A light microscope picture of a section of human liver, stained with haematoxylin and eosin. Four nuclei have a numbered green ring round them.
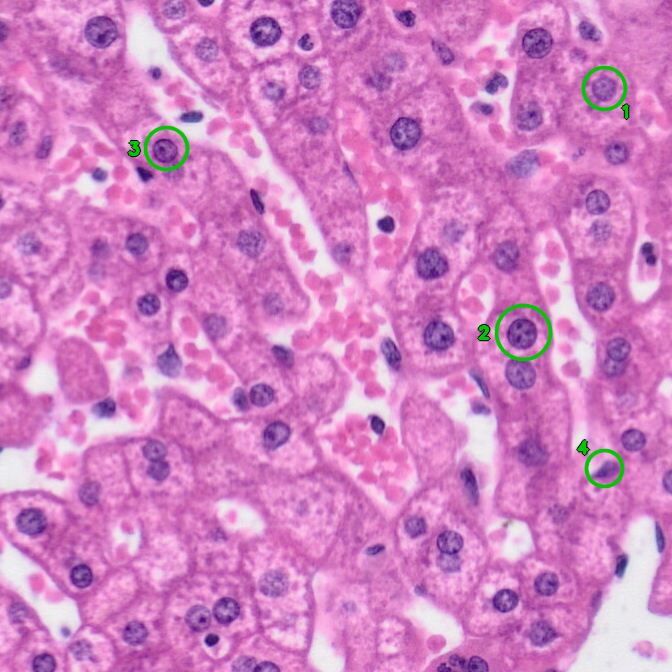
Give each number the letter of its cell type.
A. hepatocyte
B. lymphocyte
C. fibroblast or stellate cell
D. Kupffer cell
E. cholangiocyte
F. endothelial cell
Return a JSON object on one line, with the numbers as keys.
{"1": "A", "2": "A", "3": "A", "4": "F"}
